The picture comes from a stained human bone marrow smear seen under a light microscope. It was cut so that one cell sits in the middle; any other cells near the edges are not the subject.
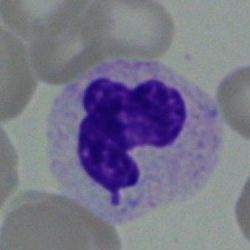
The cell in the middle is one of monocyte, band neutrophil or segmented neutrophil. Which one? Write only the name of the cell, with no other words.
segmented neutrophil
